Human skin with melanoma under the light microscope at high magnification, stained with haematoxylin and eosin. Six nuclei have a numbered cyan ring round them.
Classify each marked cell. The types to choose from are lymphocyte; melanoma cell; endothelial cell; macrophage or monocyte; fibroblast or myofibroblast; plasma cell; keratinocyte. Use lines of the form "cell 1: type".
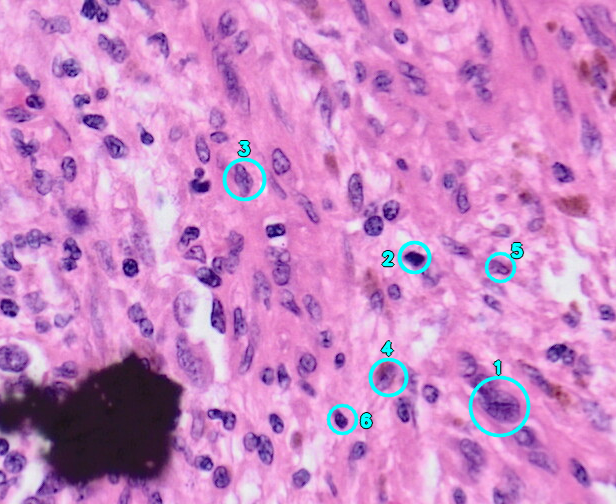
cell 1: melanoma cell
cell 2: plasma cell
cell 3: macrophage or monocyte
cell 4: macrophage or monocyte
cell 5: macrophage or monocyte
cell 6: lymphocyte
